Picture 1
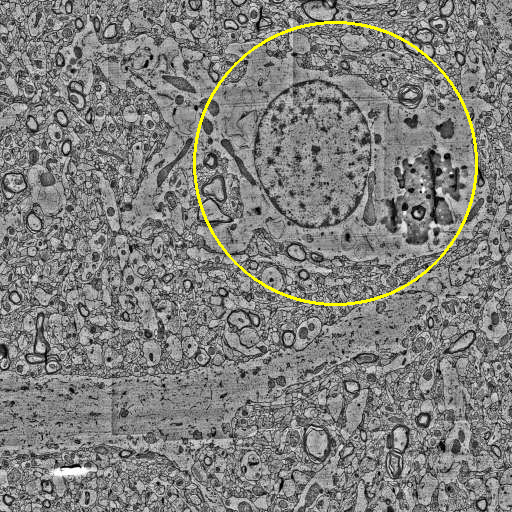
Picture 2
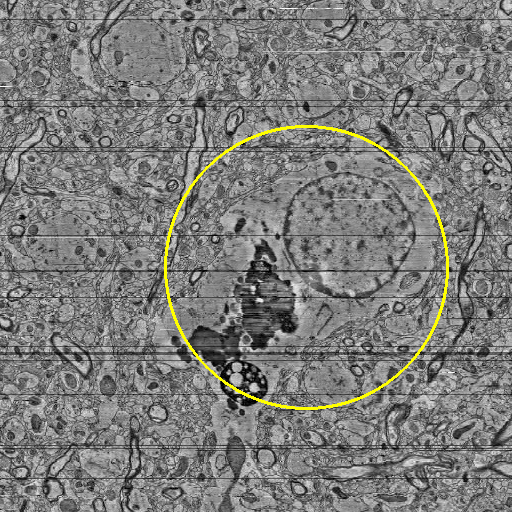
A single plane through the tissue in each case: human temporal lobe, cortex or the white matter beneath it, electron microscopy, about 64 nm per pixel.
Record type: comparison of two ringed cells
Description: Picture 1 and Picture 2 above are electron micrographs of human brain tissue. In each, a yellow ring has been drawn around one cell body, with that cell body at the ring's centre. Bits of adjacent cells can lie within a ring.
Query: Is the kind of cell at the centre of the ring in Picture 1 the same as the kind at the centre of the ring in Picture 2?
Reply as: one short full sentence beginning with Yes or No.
Yes, the two ringed cells are of the same kind.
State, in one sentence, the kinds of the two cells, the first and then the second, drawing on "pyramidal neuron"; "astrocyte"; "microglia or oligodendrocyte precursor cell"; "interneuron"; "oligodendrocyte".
The ring centre holds an astrocyte in each of the two pictures.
